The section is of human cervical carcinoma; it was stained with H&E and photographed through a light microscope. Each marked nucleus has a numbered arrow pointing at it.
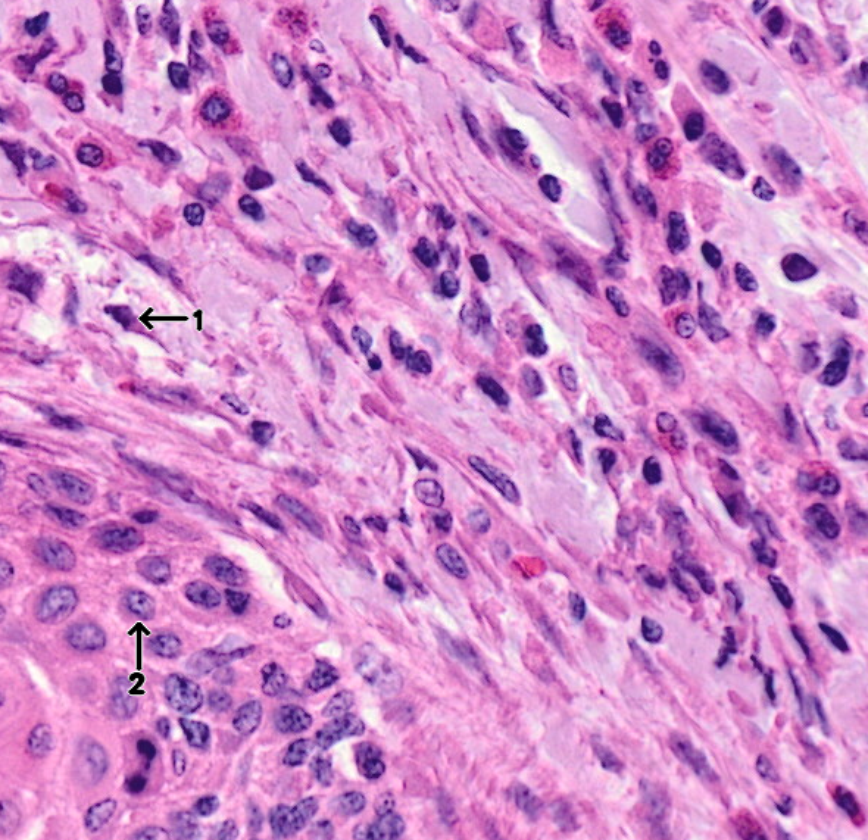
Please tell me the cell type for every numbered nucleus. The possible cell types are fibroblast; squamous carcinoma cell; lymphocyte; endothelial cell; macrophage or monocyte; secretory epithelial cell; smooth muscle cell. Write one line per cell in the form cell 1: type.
cell 1: fibroblast
cell 2: squamous carcinoma cell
